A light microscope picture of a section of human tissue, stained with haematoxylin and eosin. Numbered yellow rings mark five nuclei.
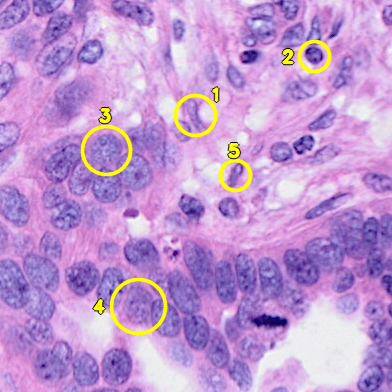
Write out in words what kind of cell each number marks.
Cell 1 is a fibroblast, cell 2 is a lymphocyte, cell 3 is a carcinoma cell, cell 4 is a carcinoma cell and cell 5 is a fibroblast.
